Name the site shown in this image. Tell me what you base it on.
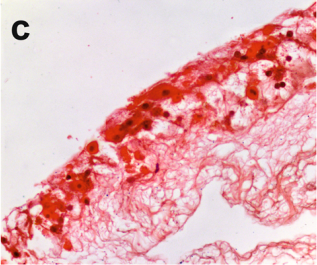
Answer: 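The band of cells runs along the edge of the fibrous material. Empty space lies beyond the band of cells.
Conclusion: outer surface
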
